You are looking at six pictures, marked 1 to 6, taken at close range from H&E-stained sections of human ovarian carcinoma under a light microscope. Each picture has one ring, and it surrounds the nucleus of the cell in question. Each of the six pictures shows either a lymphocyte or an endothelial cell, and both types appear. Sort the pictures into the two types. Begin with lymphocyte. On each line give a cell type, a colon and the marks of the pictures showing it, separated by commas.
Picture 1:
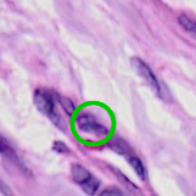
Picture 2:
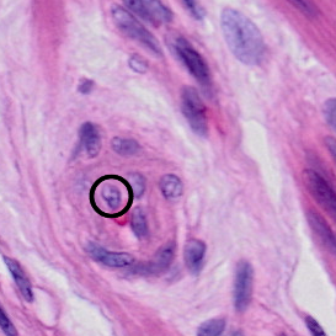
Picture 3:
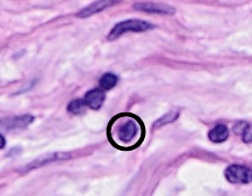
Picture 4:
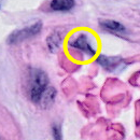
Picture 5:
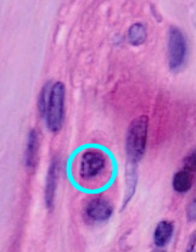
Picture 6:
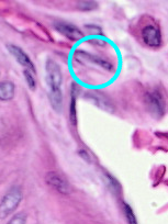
lymphocyte: 3, 5
endothelial cell: 1, 2, 4, 6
